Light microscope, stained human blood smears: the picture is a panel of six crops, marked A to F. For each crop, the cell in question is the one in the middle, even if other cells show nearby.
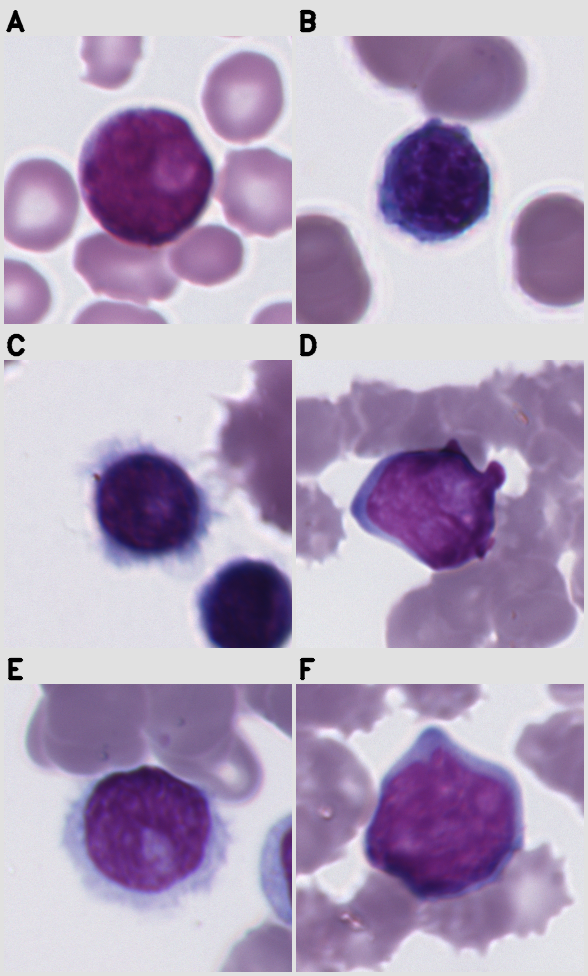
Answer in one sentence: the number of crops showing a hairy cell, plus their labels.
To sum up, two crops show hairy cells: C and E.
